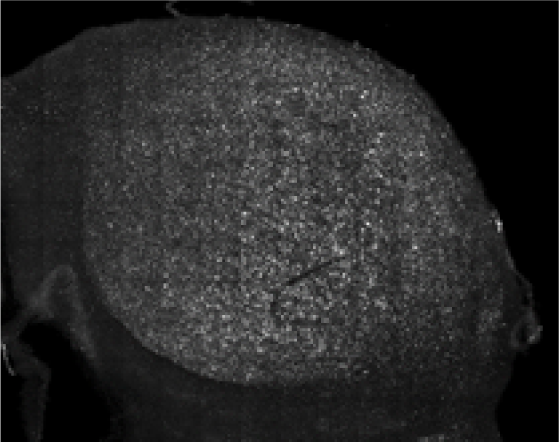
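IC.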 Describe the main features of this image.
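This is a low-power view of a whole section through the inferior colliculus, and most of what you see is a field of bright white specks, the labelled neuron cell bodies, scattered over a softer grey haze of labelled neuropil. The labelling is not even. A broad rounded central region glows brightly and is packed with specks, with the densest crowding towards its lower part. Around its edge, and especially along the left and lower margins, the tissue is much darker, so the bright zone stands out as a distinct domed territory.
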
